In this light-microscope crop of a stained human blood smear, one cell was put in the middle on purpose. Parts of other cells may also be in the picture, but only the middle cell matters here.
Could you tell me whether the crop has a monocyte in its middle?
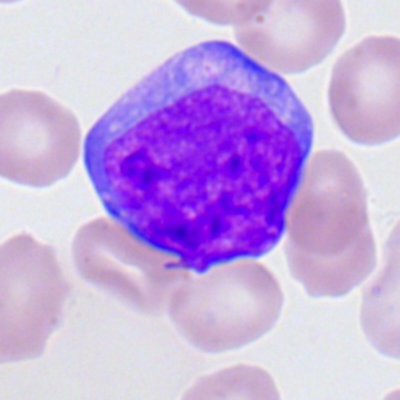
no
